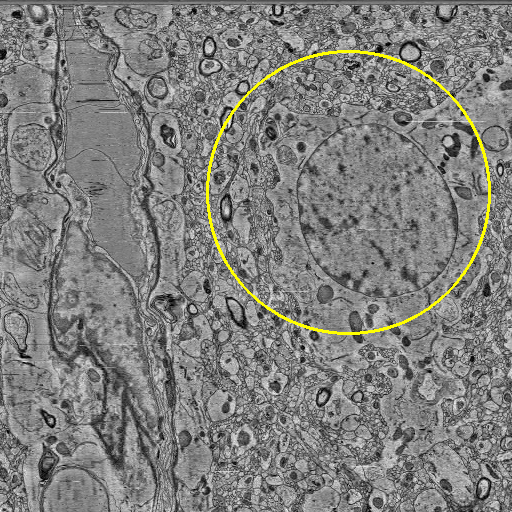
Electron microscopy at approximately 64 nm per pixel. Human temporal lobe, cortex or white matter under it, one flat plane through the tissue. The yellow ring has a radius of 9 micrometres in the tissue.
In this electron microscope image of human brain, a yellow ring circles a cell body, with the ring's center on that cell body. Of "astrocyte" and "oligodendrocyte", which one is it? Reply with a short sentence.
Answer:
It is an astrocyte at the center of the ring.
